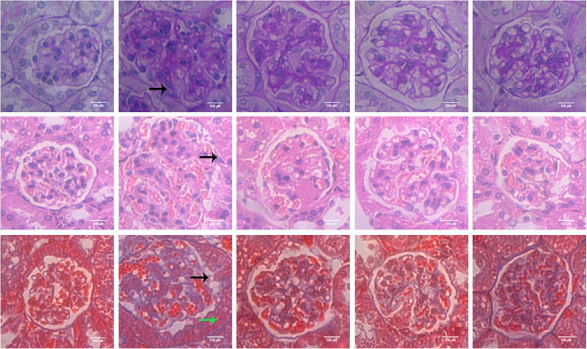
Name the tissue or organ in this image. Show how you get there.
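Glomeruli. Each image is centred on a rounded tuft of capillary loops and nuclei. The tuft sits inside a thin capsule with a clear space around it. Tubule cross-sections surround the tuft.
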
